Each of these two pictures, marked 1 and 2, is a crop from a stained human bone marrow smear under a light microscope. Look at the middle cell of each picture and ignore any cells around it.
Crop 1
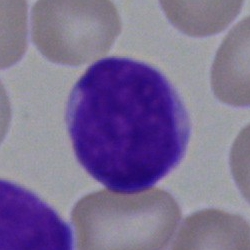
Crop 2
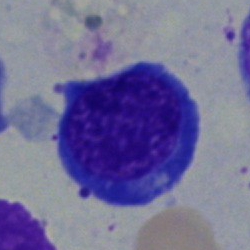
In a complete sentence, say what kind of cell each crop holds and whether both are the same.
No, crop 1 displays a blast, and crop 2 displays a normoblast.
